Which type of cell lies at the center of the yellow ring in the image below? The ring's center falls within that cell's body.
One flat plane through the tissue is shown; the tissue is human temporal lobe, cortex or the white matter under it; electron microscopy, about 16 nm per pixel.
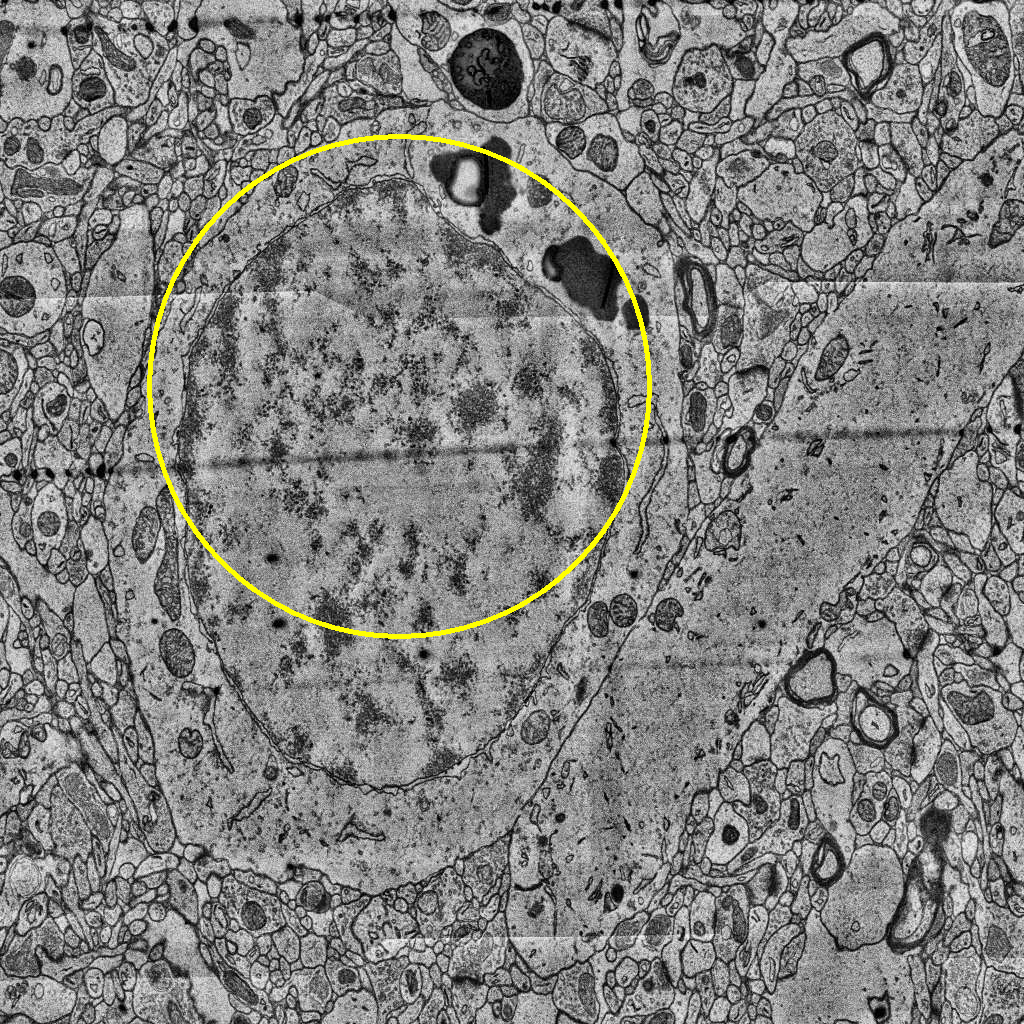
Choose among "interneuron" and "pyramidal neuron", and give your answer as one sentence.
The cell body at the center belongs to an interneuron.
